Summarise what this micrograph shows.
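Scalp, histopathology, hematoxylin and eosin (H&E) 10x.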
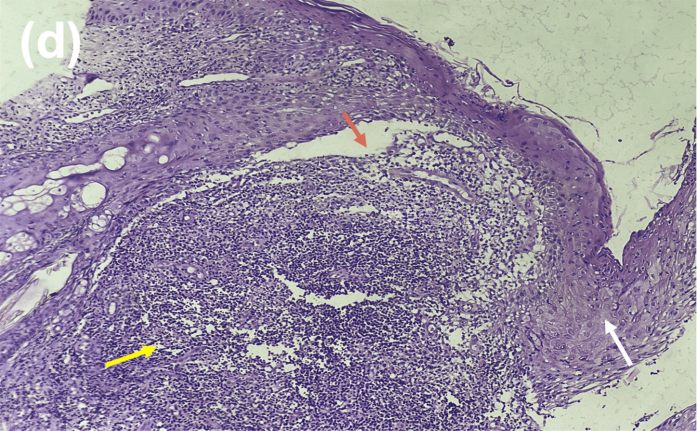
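A section of skin stained purple and pink, with a thickened stratified epithelium curving along the top and right and a very dense inflammatory infiltrate beneath it. The epithelium on the right is broad and many cell layers thick. Just under the upper epithelial layers lies a clear cleft with packed inflammatory cells below it. The underlying dermis is crowded with countless small, round, dark-purple nuclei of mixed inflammatory cells, arranged in a large rounded mass.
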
